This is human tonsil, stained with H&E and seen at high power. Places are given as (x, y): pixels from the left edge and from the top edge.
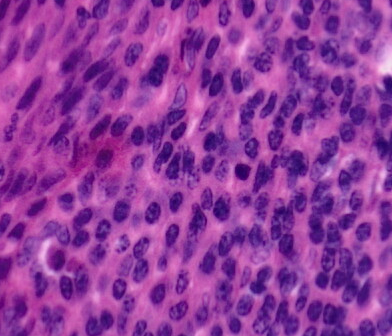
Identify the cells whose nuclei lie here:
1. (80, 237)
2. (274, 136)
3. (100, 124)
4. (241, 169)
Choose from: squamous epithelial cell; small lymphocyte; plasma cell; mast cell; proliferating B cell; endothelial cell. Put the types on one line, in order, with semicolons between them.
plasma cell; plasma cell; squamous epithelial cell; plasma cell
